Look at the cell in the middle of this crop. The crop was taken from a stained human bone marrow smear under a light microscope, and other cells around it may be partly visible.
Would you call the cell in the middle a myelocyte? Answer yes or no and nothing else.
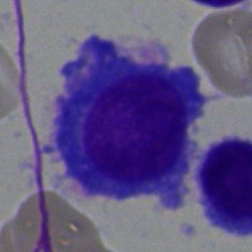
no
